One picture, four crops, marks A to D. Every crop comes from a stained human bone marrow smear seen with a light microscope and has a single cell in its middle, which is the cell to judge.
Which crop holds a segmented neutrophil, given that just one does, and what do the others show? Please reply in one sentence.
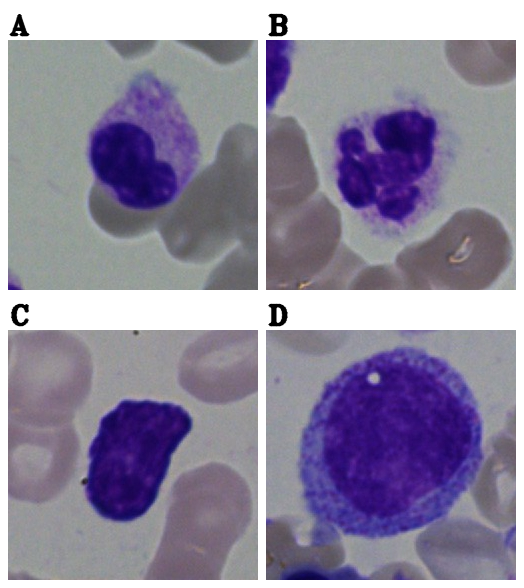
In crop B one sees a segmented neutrophil, while crop A is a band neutrophil, crop C is a blast and crop D is a promyelocyte.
